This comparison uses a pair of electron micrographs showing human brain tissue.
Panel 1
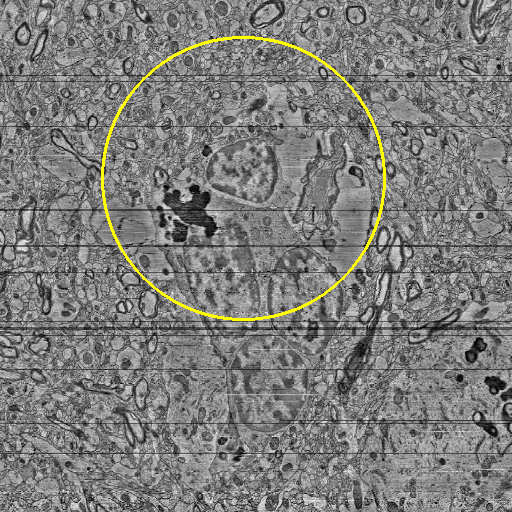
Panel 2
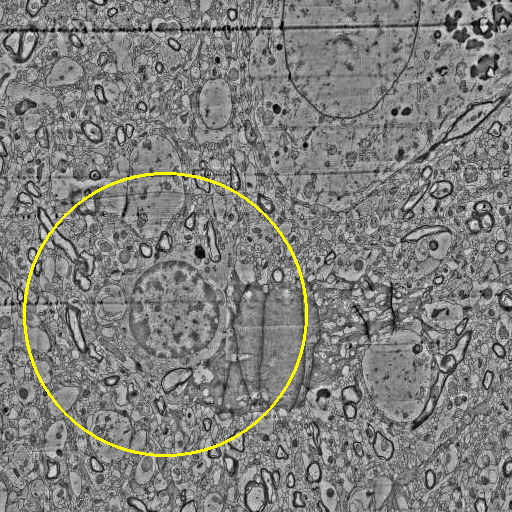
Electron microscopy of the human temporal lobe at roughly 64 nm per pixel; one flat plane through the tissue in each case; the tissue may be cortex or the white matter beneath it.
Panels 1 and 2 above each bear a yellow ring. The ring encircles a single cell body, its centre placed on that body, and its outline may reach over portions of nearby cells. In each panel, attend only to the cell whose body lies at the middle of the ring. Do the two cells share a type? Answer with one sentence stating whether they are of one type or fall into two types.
In Panel 1 and Panel 2, the cells at the centres of the rings fall into two types.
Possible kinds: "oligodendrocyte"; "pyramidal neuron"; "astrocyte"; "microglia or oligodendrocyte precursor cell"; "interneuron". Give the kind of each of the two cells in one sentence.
The cell in the second picture is an oligodendrocyte, and that in the first is a microglial cell or oligodendrocyte precursor cell.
